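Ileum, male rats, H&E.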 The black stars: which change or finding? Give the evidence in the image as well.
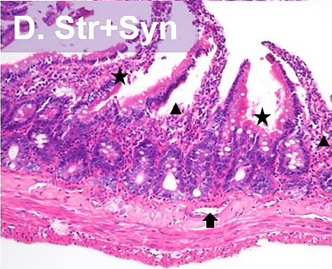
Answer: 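Desquamation of the villi. Loose strips of epithelial cells lie in the lumen between villi.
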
